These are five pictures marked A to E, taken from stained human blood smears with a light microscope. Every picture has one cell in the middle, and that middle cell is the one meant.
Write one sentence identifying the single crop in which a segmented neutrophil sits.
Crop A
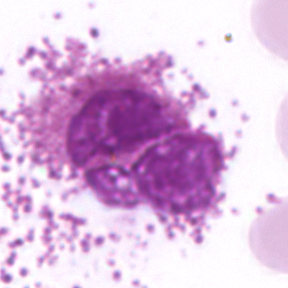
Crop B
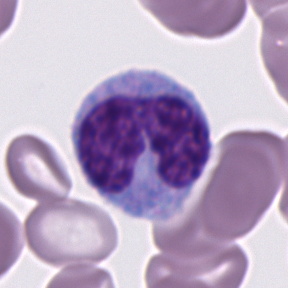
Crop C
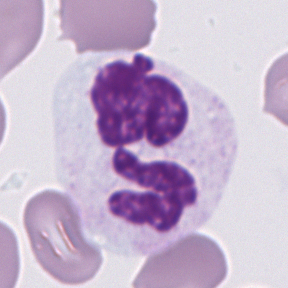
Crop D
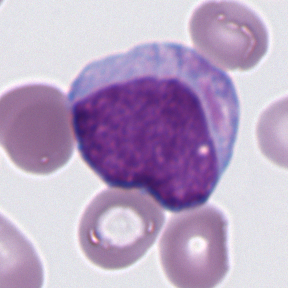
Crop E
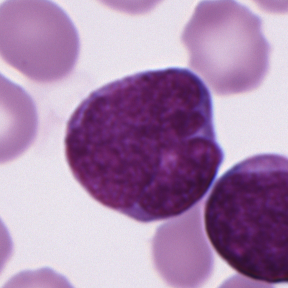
Crop C, and no other, is the one that shows a segmented neutrophil.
